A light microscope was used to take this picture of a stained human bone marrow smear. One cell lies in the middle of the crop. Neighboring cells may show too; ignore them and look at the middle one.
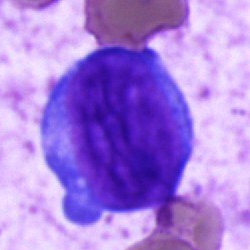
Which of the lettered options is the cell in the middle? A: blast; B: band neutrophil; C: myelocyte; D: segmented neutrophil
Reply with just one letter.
A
